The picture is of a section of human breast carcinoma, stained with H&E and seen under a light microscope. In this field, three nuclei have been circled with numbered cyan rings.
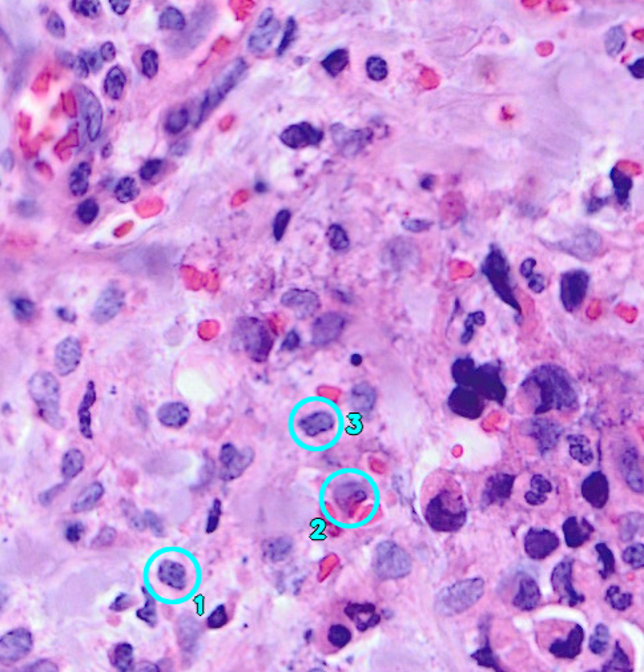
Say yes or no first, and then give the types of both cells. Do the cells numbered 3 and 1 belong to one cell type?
Yes, that is right: cells 3 and 1 are both mast cells.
